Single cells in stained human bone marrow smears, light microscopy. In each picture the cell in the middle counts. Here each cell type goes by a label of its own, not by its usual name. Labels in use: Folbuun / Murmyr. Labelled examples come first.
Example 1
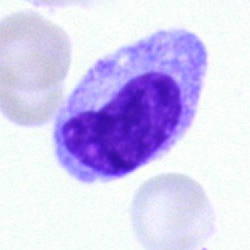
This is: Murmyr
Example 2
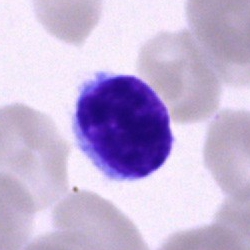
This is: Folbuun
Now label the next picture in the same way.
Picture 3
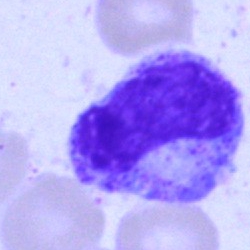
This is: Murmyr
